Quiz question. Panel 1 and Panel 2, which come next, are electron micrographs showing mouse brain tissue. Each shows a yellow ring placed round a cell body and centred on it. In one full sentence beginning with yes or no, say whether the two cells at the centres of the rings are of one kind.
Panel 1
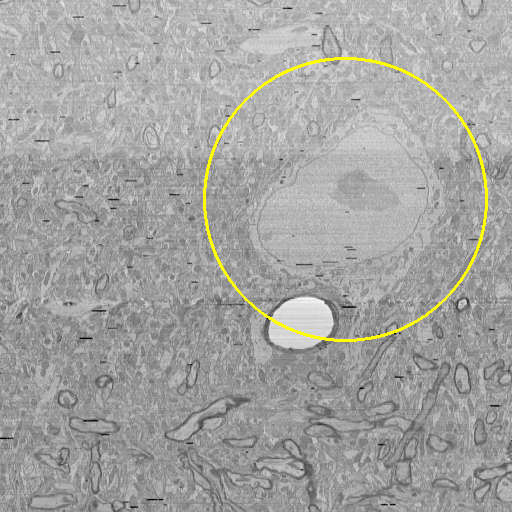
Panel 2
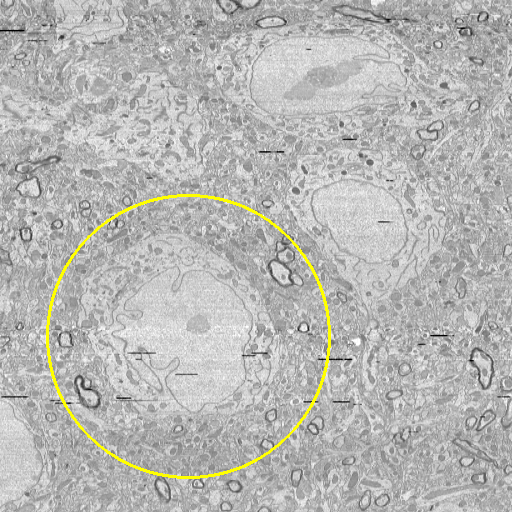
Yes, Panel 1 and Panel 2 show one kind of cell at the centre of the ring.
